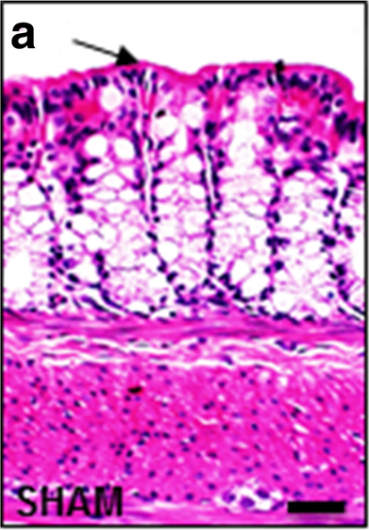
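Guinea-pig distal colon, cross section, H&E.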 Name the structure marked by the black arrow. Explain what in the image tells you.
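Epithelial lining. The arrow points to the surface layer of cells covering the mucosa. The surface layer runs unbroken across the top of the crypts.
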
